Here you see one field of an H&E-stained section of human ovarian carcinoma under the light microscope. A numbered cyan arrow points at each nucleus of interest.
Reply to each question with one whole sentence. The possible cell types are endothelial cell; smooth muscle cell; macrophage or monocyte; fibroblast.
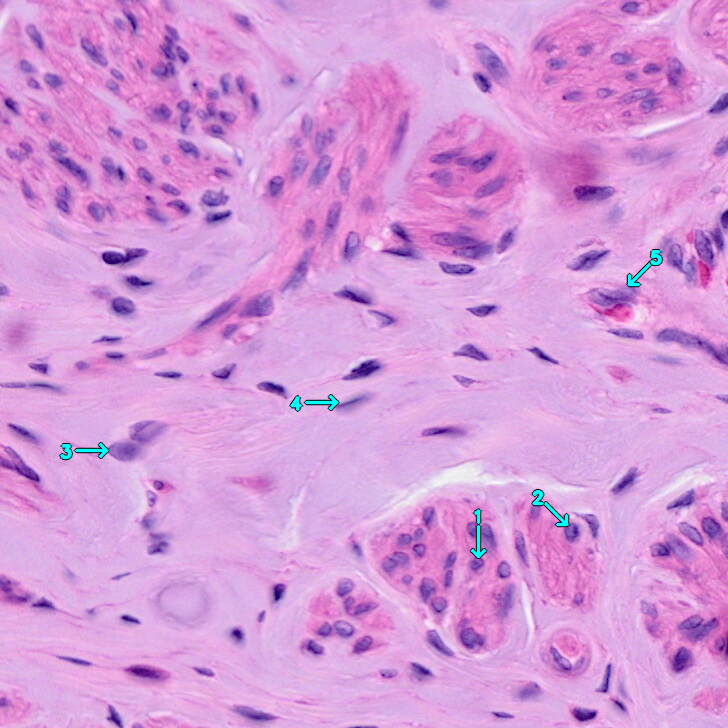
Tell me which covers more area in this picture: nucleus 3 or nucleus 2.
Nucleus 3 is the larger one, covering about 2.5 times the area of nucleus 2.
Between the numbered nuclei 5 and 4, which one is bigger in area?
Nucleus 5 covers more area, about 4 times as much as nucleus 4.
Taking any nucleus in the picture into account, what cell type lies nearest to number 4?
The cell nearest to number 4 is a fibroblast.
